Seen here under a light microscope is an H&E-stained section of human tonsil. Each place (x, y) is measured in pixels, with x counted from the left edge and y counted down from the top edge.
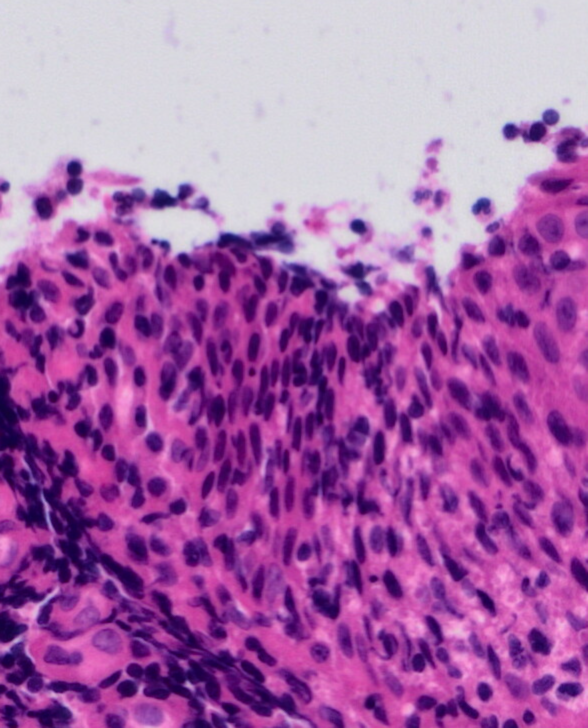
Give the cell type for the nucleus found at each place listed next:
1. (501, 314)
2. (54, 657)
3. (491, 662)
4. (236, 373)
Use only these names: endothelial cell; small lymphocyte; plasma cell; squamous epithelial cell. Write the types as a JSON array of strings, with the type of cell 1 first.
["squamous epithelial cell", "endothelial cell", "squamous epithelial cell", "squamous epithelial cell"]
